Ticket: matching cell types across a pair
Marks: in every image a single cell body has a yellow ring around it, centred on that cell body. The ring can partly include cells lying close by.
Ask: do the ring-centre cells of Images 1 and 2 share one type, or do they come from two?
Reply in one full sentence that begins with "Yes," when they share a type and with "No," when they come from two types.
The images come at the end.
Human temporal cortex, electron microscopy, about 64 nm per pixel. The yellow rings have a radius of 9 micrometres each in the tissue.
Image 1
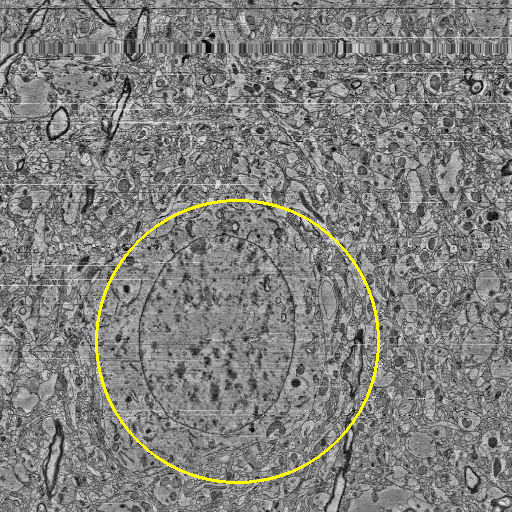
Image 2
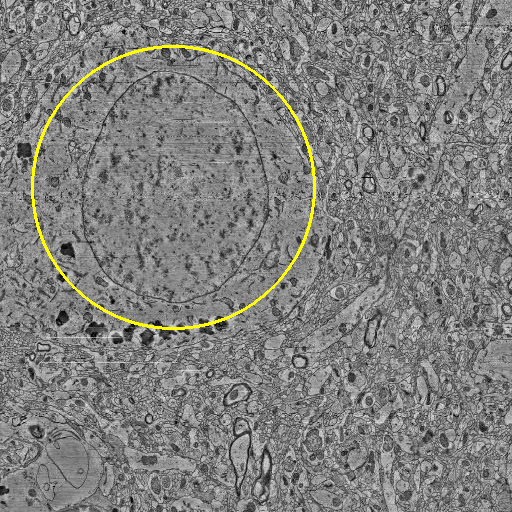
Yes, the cells in the centres of the rings in Image 1 and Image 2 share one type.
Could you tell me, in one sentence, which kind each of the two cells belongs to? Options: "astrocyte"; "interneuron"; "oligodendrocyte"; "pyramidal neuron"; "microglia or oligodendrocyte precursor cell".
Each of the two pictures has a pyramidal neuron at the ring centre.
